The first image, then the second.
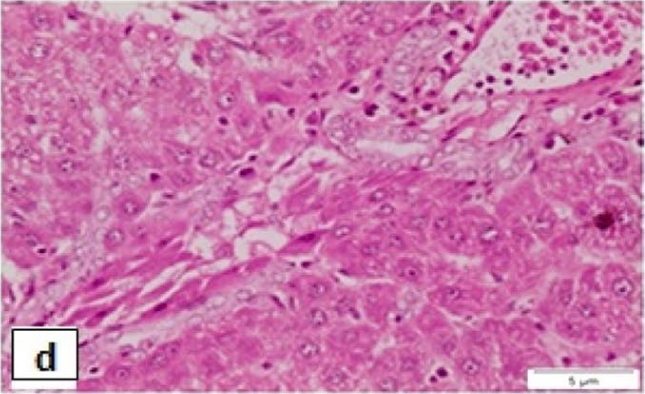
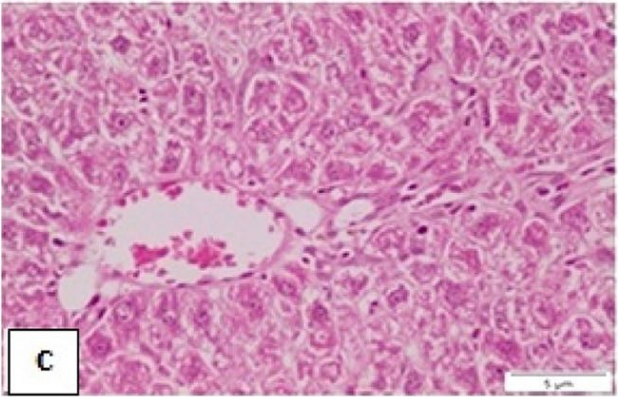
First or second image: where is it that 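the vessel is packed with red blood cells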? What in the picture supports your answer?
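First image: a vessel at the upper right holds many crowded red blood cells. Second image: the large vessel is mostly empty, with only a few red blood cells.
The first image.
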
